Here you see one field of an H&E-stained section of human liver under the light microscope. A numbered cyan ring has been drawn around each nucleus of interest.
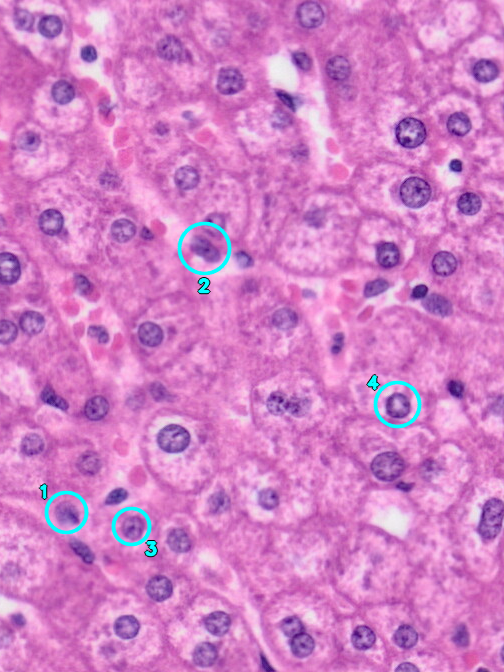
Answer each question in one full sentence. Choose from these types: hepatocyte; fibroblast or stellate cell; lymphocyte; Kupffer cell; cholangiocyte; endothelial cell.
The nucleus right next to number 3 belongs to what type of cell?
Number 3 lies closest to the nucleus of a lymphocyte.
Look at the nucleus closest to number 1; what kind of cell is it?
The nearest nucleus to number 1 belongs to a fibroblast or stellate cell.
